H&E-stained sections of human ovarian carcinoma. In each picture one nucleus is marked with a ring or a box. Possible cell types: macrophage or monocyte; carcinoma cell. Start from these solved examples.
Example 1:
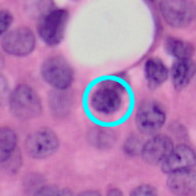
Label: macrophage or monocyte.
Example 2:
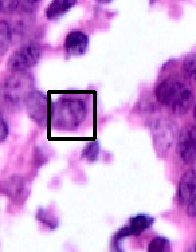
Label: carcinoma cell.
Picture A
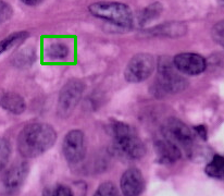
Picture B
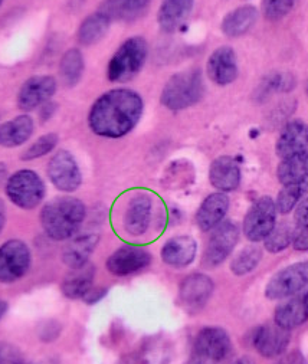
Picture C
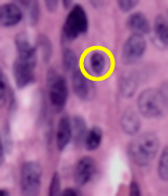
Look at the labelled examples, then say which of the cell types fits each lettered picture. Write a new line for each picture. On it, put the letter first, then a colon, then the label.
A: macrophage or monocyte.
B: carcinoma cell.
C: macrophage or monocyte.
